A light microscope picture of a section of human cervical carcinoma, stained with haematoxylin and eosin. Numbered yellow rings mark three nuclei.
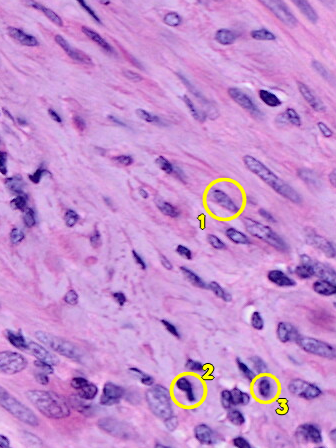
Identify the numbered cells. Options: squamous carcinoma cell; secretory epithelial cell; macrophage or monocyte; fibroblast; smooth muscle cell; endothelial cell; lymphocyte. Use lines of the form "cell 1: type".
cell 1: smooth muscle cell
cell 2: lymphocyte
cell 3: lymphocyte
